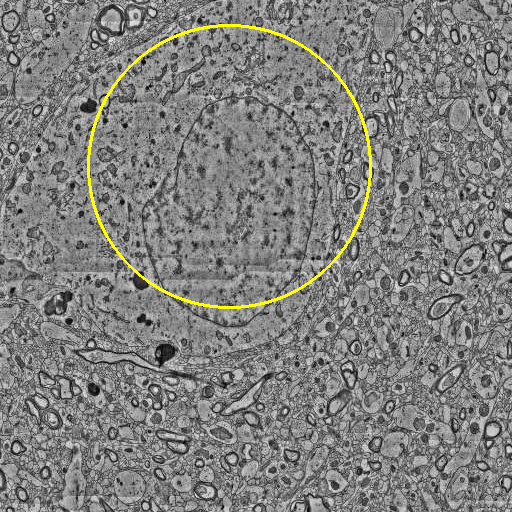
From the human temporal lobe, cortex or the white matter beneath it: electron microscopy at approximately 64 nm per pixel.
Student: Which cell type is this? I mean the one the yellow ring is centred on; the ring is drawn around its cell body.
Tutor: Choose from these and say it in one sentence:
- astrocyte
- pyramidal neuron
The cell the ring is centred on is a pyramidal neuron.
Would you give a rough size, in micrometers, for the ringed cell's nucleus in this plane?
The nucleus comes to roughly 15 by 11 micrometres in this plane.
